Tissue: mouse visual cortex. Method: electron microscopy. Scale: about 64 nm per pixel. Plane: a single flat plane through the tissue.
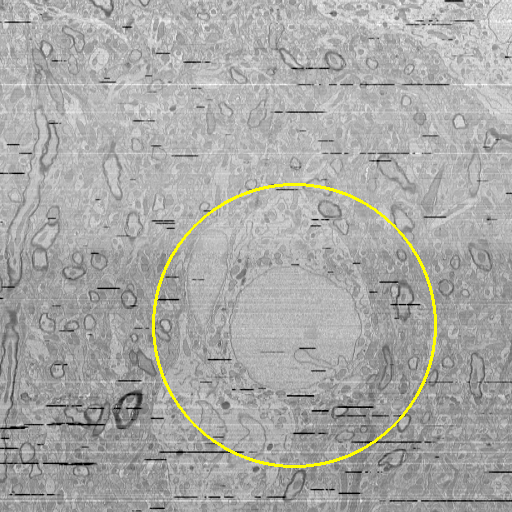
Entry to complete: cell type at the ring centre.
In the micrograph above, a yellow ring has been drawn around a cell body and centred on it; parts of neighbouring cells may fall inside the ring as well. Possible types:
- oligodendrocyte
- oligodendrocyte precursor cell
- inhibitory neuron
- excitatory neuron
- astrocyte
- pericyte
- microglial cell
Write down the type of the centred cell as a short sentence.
The ring is centred on an inhibitory neuron.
